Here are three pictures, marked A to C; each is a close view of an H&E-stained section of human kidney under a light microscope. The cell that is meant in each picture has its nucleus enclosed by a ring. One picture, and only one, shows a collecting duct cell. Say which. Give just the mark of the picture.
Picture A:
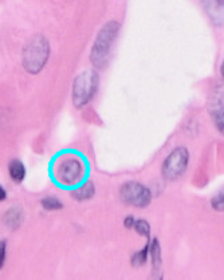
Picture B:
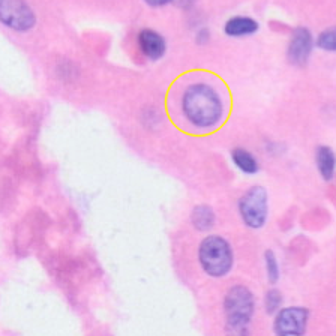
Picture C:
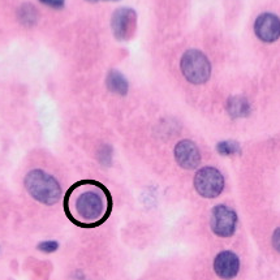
A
